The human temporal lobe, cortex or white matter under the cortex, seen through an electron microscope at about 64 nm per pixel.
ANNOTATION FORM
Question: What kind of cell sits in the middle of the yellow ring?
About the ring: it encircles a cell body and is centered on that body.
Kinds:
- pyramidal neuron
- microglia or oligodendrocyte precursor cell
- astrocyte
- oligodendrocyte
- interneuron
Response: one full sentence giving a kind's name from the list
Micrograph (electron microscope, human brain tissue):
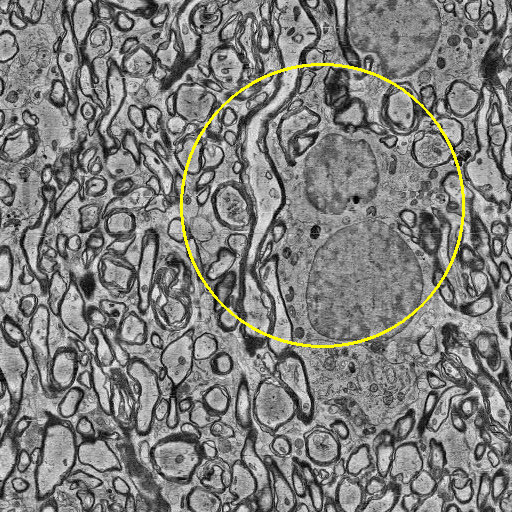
The kind of cell found at the center of the yellow ring in the micrograph is an oligodendrocyte.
